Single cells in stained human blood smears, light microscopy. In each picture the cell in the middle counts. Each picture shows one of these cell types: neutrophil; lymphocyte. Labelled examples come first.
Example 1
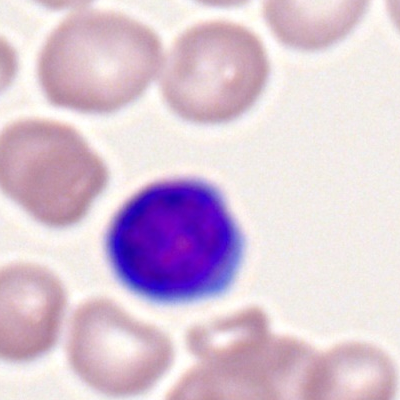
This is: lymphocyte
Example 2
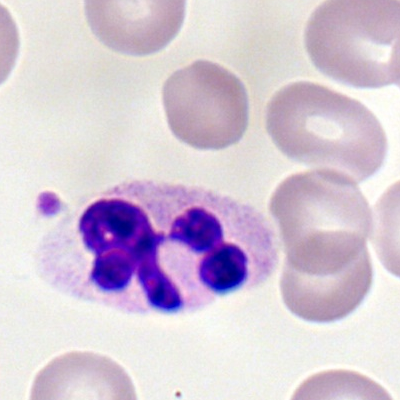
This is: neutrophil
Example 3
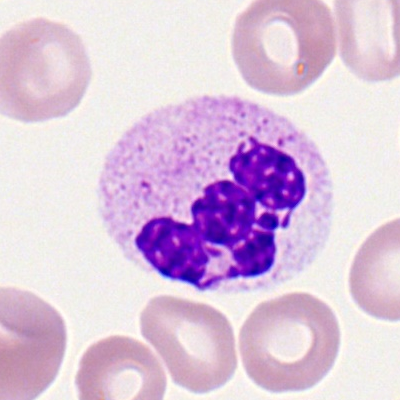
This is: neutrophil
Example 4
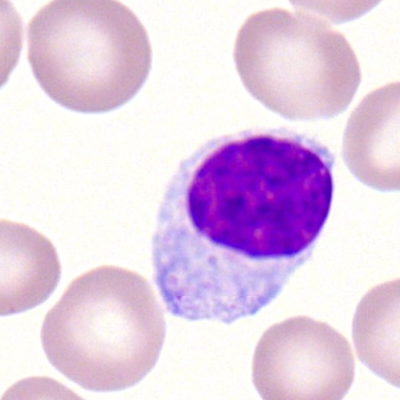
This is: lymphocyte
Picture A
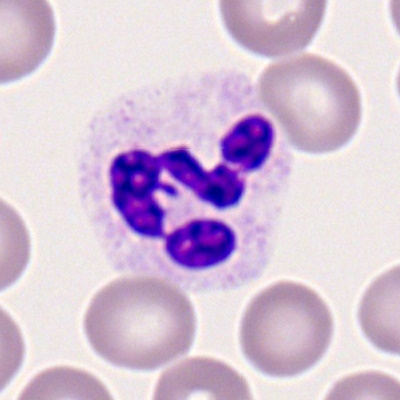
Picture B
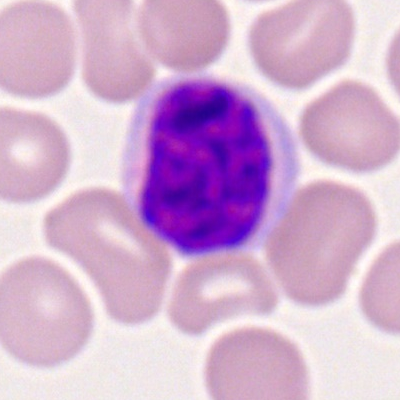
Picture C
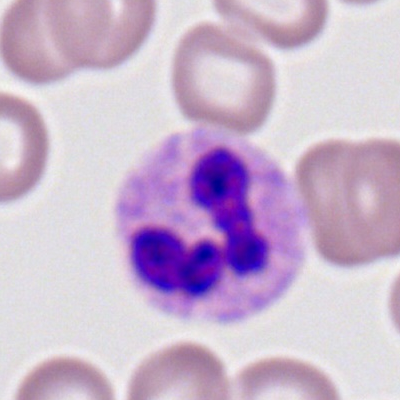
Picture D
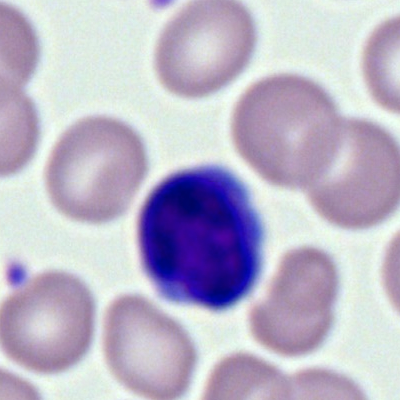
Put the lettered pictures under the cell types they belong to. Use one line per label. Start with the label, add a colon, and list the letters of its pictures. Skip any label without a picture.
neutrophil: A, C
lymphocyte: B, D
